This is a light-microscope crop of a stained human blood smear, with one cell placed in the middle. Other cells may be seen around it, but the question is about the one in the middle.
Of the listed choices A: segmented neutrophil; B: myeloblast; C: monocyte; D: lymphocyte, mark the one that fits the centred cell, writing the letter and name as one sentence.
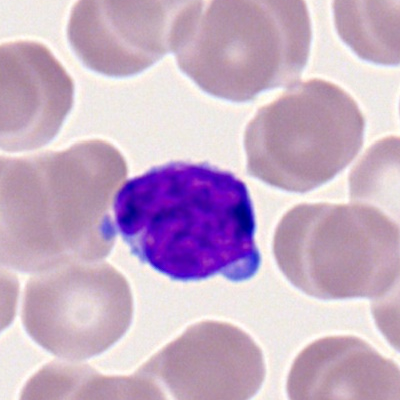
Option D is to be chosen, as the central cell is a lymphocyte.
